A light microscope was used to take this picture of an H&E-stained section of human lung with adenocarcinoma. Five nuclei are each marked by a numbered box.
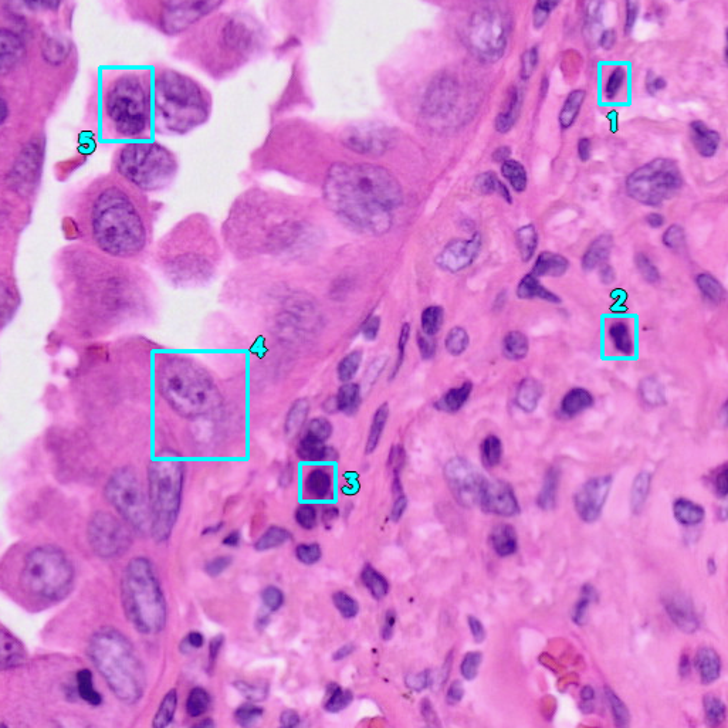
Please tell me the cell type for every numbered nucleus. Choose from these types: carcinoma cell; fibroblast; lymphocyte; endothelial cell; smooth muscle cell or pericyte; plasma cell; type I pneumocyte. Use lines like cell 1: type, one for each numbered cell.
cell 1: lymphocyte
cell 2: plasma cell
cell 3: plasma cell
cell 4: carcinoma cell
cell 5: carcinoma cell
